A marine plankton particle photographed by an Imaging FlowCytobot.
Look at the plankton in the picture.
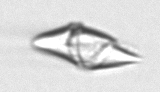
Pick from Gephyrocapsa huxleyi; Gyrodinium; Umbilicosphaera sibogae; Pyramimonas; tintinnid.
Gyrodinium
